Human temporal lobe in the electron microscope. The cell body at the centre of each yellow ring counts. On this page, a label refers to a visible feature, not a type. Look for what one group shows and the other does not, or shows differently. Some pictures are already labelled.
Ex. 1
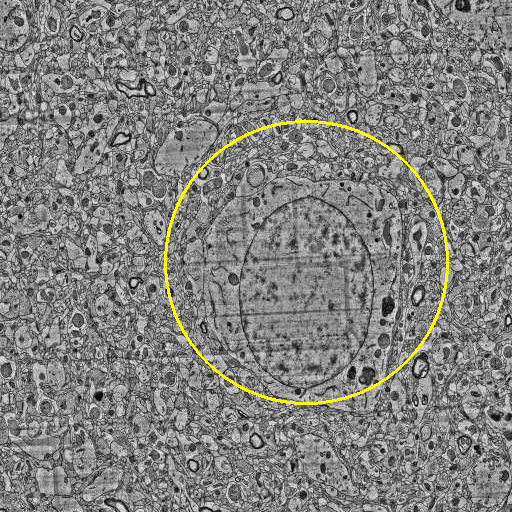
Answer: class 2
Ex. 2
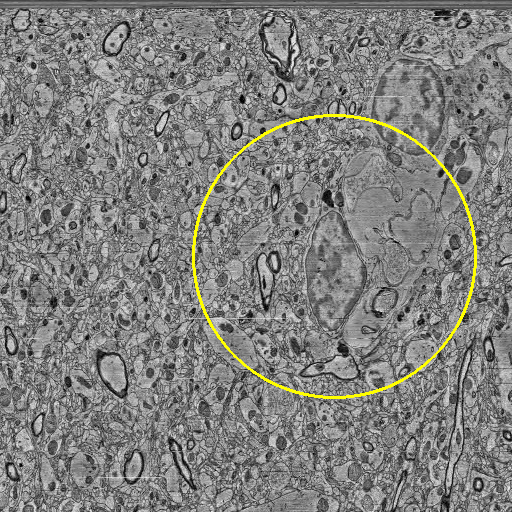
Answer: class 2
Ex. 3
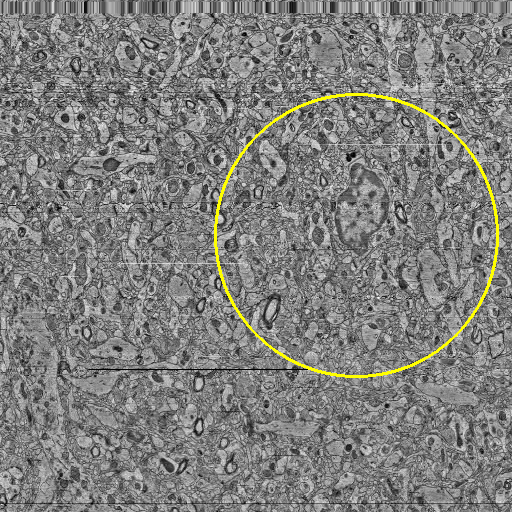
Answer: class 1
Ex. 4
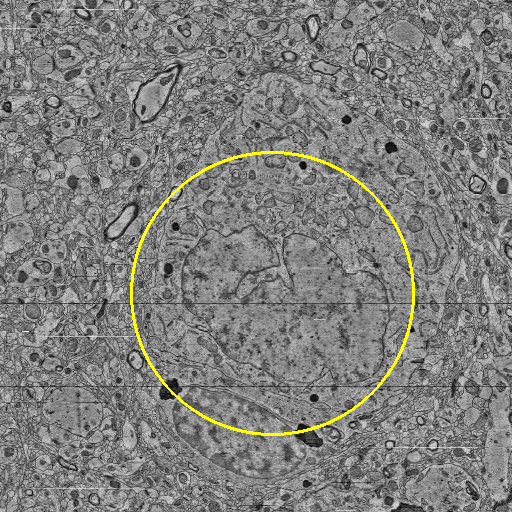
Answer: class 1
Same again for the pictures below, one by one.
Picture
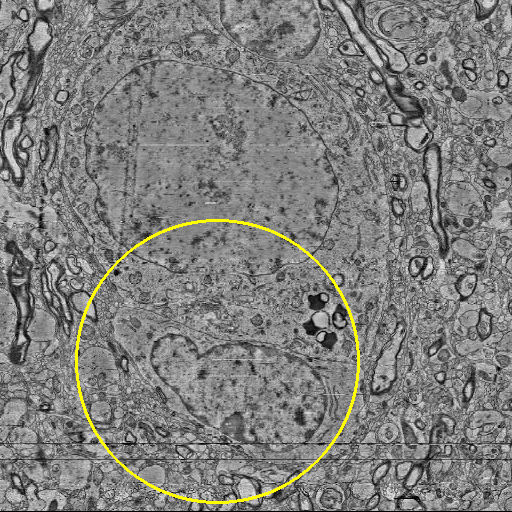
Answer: class 1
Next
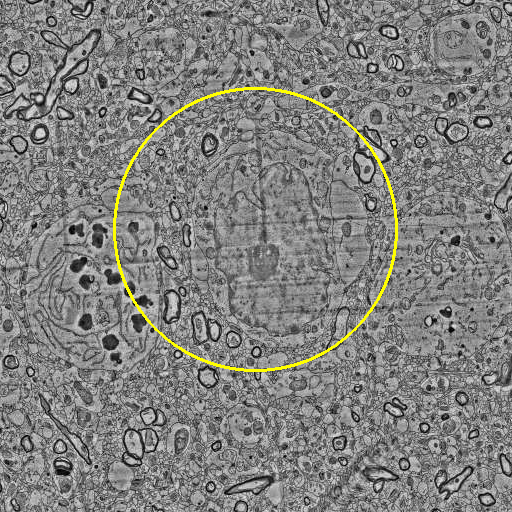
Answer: class 1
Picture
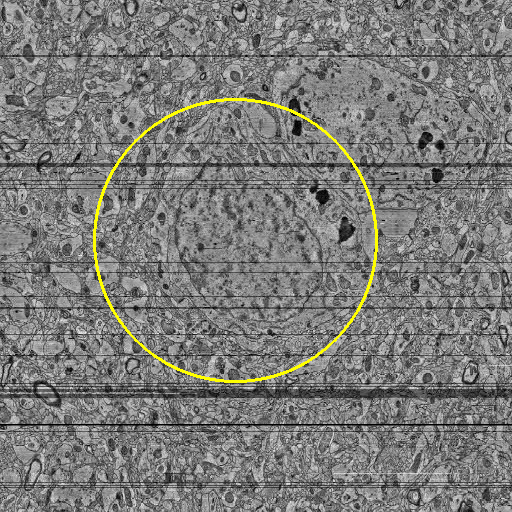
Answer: class 2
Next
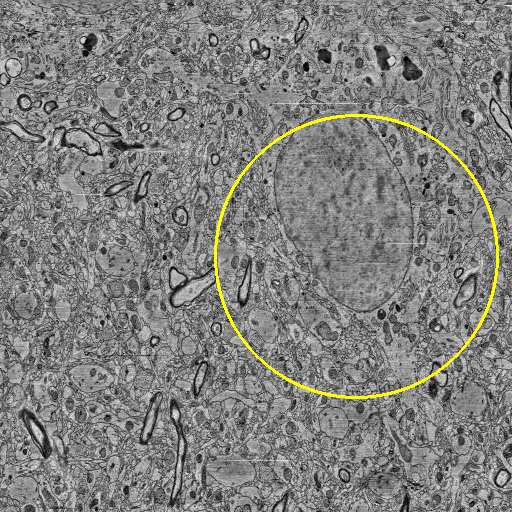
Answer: class 2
